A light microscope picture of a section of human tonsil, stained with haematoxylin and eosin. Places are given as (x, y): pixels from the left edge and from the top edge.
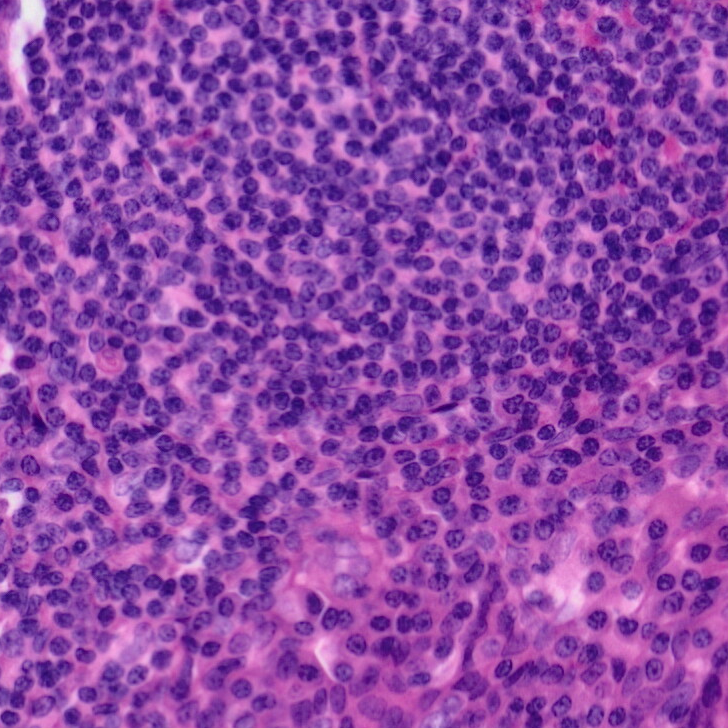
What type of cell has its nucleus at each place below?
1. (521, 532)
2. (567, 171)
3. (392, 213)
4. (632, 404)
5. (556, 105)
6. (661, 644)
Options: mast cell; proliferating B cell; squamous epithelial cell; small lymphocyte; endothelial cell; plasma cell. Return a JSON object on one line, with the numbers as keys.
{"1": "plasma cell", "2": "small lymphocyte", "3": "small lymphocyte", "4": "plasma cell", "5": "small lymphocyte", "6": "plasma cell"}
